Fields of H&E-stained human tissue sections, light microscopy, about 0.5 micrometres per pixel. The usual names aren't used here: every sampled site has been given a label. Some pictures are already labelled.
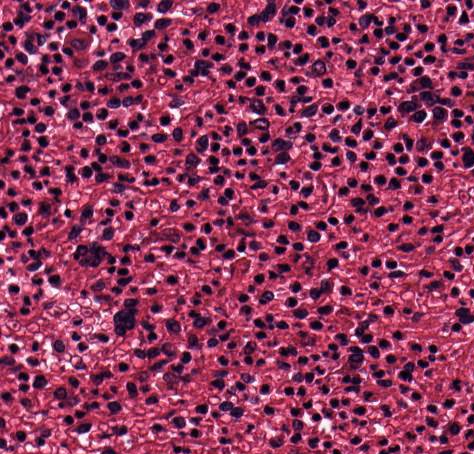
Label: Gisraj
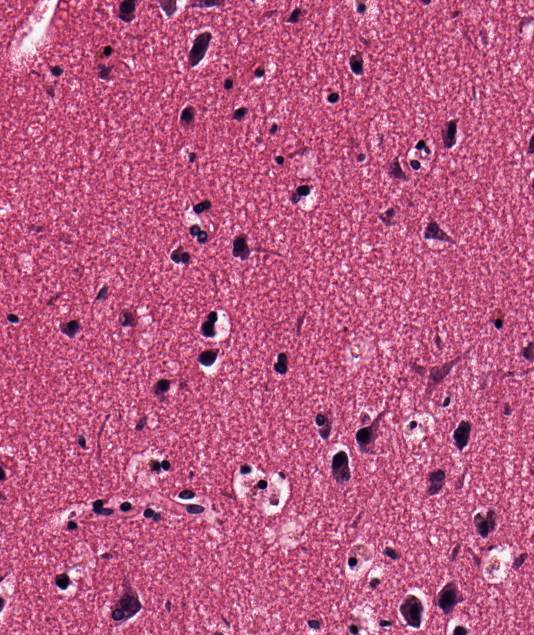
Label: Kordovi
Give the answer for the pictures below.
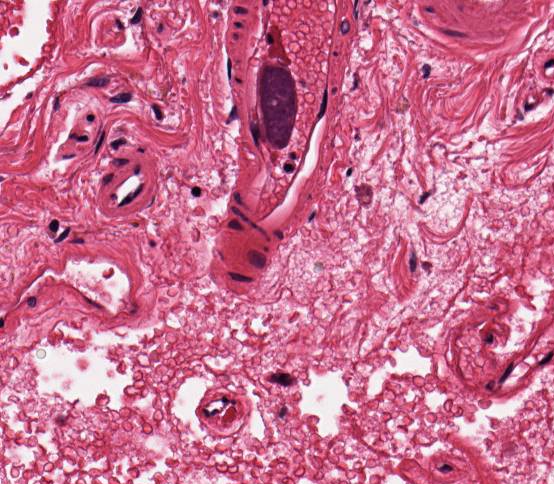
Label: Kordovi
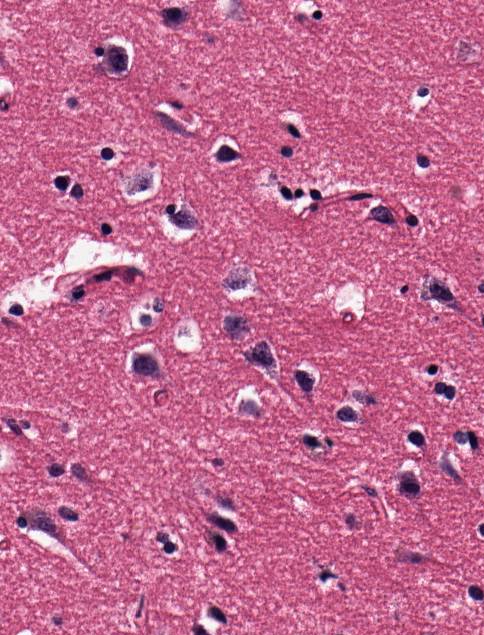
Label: Kordovi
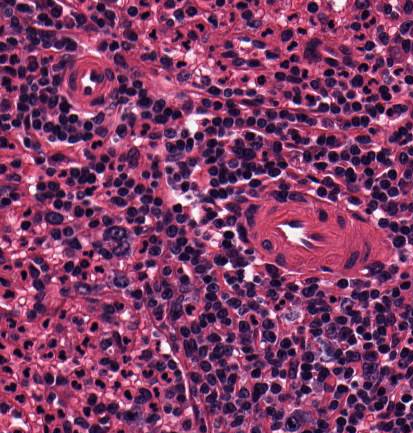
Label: Gisraj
